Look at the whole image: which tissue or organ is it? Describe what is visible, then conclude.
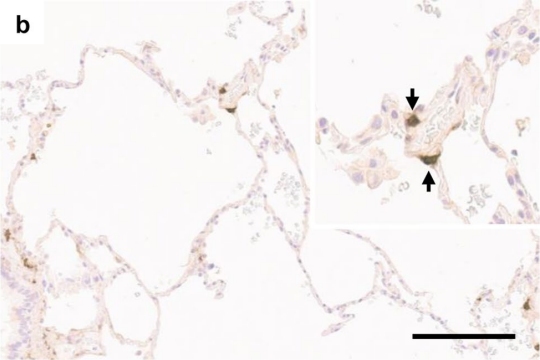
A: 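Alveolar tissue. Large open air spaces bounded by thin septa.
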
